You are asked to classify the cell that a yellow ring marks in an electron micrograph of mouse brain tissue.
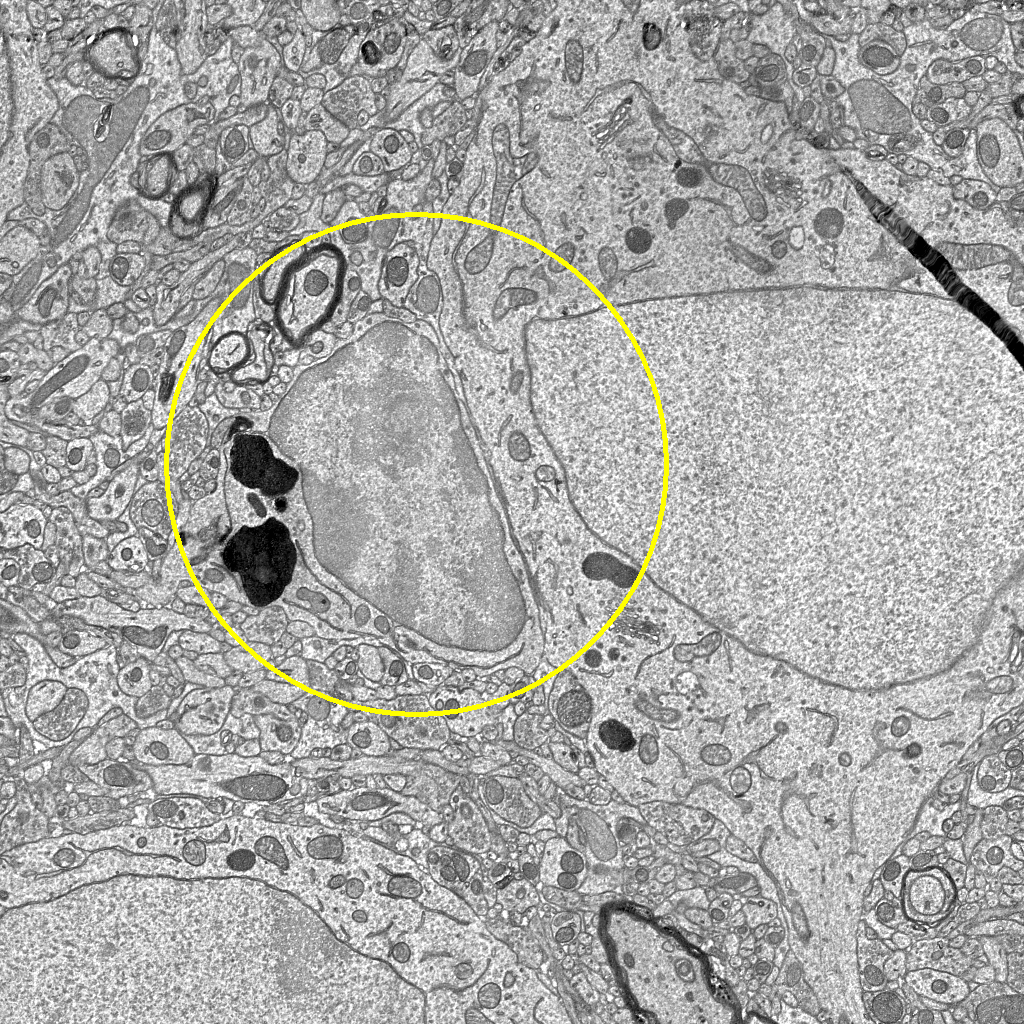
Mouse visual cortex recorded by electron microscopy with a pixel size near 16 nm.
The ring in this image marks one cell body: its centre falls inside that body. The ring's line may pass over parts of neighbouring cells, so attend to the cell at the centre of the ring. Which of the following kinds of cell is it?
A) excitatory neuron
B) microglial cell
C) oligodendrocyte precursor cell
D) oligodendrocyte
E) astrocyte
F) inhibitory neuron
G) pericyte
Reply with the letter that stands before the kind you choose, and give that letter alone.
B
